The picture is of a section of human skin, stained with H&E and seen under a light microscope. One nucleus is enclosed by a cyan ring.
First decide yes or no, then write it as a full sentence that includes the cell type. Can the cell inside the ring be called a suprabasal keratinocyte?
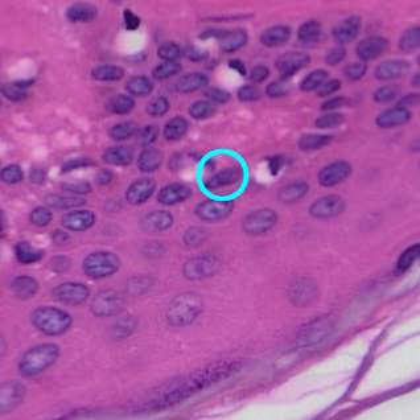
No, the cell inside the ring is classed as a basal keratinocyte, not as a suprabasal keratinocyte.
